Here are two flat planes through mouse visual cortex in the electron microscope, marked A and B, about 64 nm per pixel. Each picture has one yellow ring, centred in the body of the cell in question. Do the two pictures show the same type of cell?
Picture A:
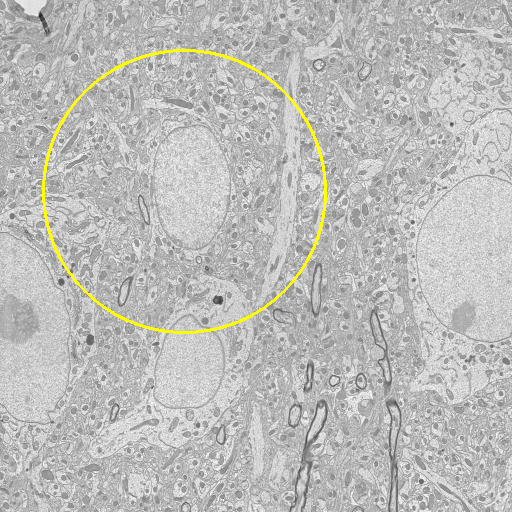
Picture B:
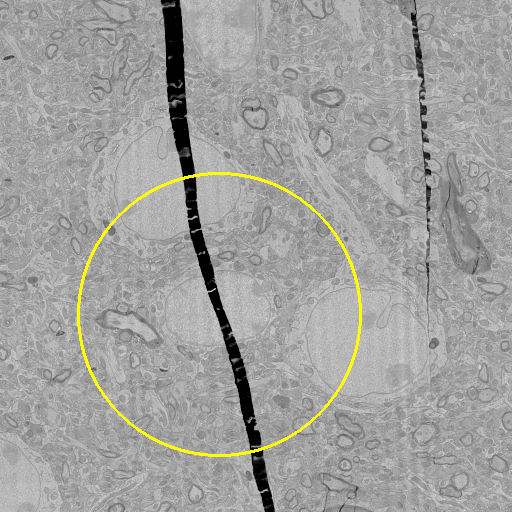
Yes; the cells in both pictures are astrocytes.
